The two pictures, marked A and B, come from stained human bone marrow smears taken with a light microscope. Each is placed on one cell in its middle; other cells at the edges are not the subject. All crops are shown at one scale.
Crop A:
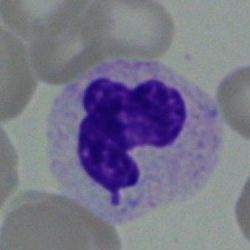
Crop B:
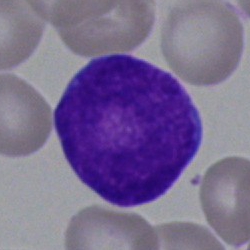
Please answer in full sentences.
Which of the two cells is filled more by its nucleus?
The nucleus fills more of the cell in crop B than in crop A.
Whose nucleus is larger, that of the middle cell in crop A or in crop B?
The nucleus in crop B is larger, with about 2 times the area of the one in crop A.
